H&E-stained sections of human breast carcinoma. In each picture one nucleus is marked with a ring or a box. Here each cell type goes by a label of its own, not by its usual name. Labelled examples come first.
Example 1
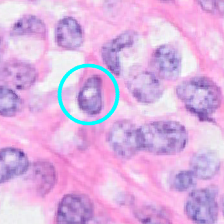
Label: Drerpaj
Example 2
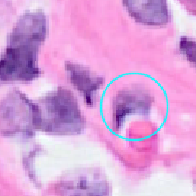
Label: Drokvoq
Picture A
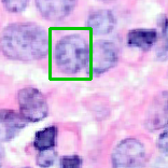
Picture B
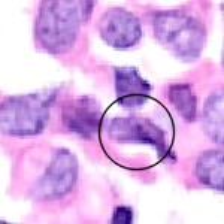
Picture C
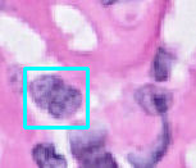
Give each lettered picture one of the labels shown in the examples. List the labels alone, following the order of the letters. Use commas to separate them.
Drerpaj, Drerpaj, Drerpaj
